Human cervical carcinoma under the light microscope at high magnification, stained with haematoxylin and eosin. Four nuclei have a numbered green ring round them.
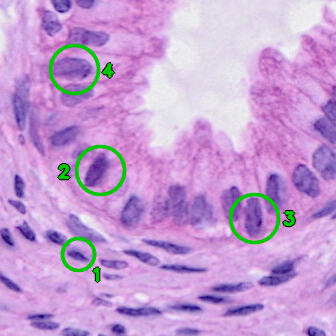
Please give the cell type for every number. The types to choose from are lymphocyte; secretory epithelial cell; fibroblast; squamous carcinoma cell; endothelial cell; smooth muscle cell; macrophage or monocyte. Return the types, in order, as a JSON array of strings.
["fibroblast", "secretory epithelial cell", "secretory epithelial cell", "secretory epithelial cell"]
